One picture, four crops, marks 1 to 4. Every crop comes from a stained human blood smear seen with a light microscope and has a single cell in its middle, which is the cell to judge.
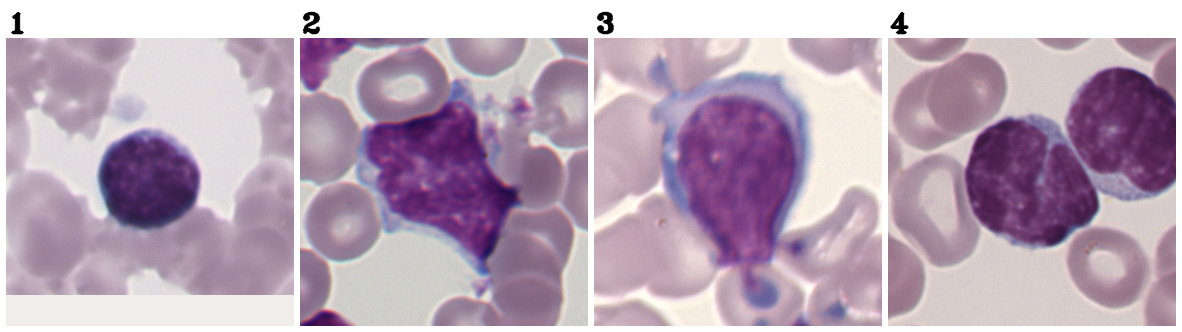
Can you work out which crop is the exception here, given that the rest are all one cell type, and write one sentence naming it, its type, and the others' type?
Found in all crops but one are typical lymphocytes; the exception, crop 3, contains a myeloblast.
